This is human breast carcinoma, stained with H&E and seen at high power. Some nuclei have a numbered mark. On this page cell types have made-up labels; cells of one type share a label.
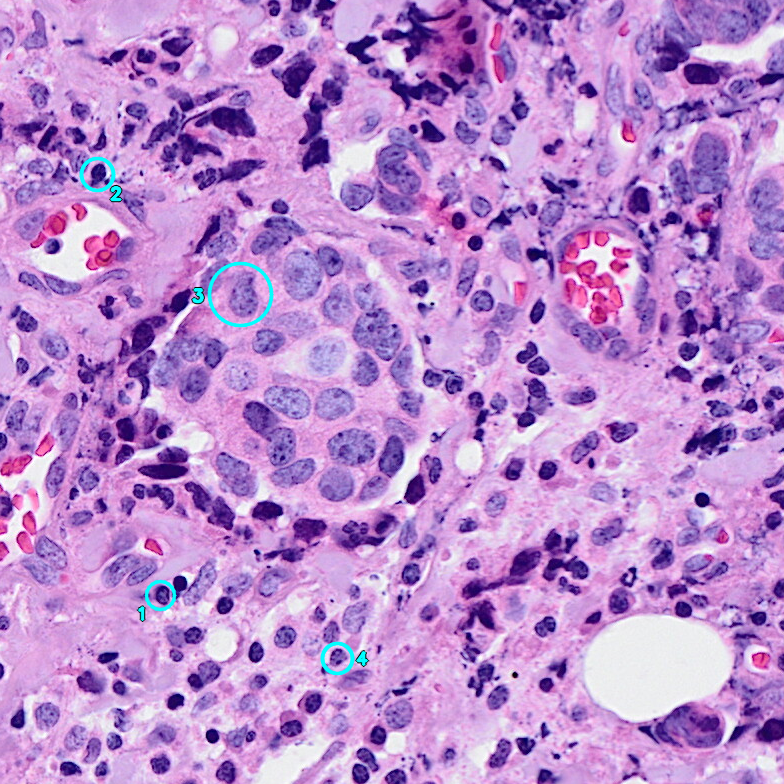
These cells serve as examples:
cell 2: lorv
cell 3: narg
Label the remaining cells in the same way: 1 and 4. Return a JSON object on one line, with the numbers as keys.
{"1": "lorv", "4": "lorv"}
